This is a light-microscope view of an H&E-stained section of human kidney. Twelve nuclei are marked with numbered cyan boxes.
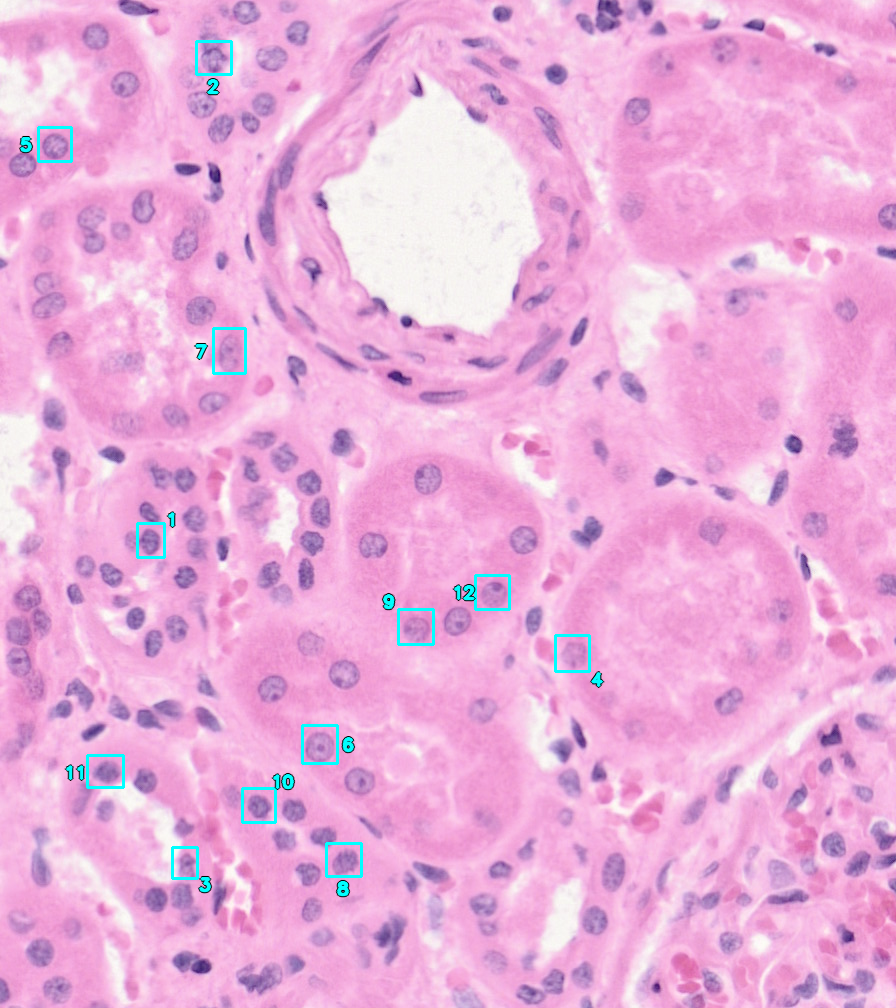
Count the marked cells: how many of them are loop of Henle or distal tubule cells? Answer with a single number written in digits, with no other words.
4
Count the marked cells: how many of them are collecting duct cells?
2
